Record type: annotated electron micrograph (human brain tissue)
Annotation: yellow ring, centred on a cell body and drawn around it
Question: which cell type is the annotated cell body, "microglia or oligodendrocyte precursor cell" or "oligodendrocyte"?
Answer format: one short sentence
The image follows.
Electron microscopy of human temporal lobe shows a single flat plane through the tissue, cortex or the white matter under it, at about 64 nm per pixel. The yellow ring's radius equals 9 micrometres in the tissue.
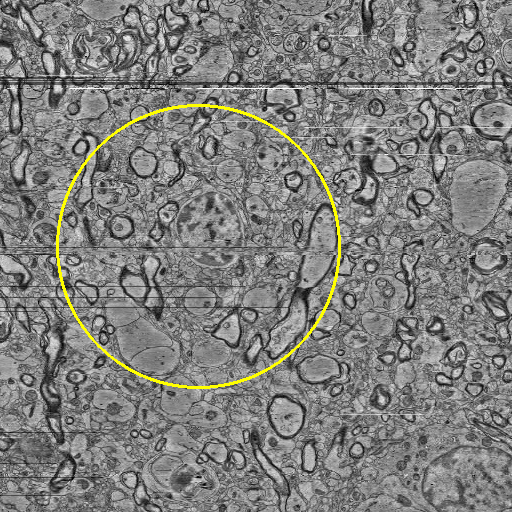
The annotated cell body is that of a microglial cell or oligodendrocyte precursor cell.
